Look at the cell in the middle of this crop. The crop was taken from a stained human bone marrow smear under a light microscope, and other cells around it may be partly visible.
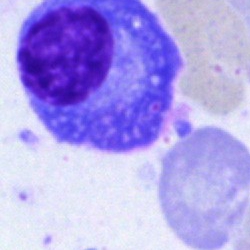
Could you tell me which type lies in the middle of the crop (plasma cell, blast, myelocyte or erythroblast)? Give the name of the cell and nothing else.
plasma cell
